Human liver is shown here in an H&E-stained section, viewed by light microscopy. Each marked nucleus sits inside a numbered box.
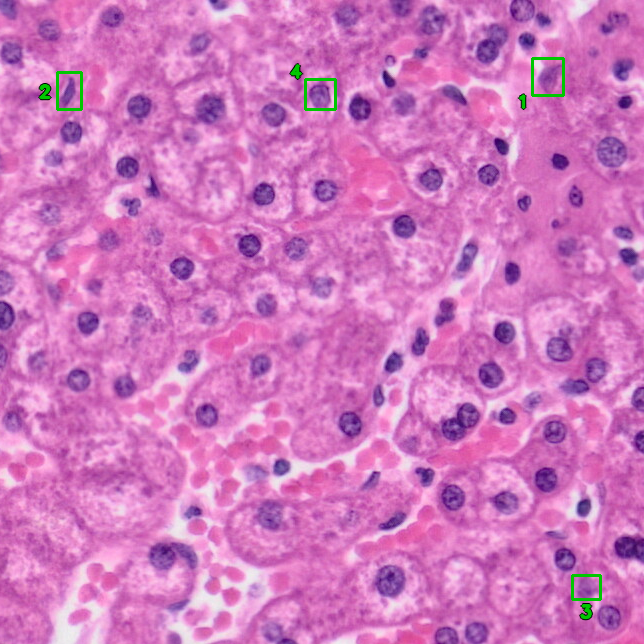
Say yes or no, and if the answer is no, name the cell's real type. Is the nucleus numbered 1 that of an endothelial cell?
Yes.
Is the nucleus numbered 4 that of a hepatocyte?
Yes.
